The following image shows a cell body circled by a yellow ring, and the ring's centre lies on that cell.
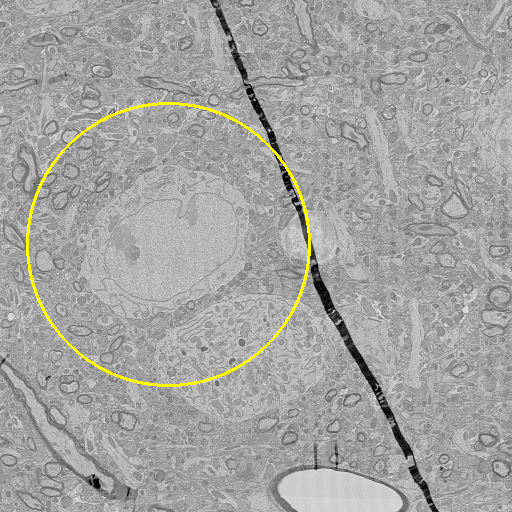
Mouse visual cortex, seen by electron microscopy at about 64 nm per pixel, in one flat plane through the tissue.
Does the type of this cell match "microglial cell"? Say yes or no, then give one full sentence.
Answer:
No, the cell at the ring's centre in this picture has a different type.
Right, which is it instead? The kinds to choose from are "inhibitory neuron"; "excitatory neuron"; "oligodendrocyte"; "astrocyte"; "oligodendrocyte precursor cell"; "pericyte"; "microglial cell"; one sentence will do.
The correct answer is that the cell is an excitatory neuron.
